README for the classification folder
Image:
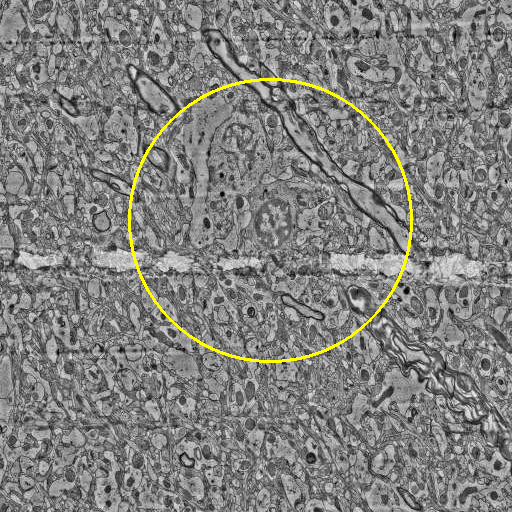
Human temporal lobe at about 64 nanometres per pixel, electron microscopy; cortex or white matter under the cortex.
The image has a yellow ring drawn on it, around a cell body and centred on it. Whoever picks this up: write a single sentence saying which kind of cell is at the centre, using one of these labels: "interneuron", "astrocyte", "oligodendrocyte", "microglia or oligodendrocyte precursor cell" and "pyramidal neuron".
This cell body is that of an oligodendrocyte.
